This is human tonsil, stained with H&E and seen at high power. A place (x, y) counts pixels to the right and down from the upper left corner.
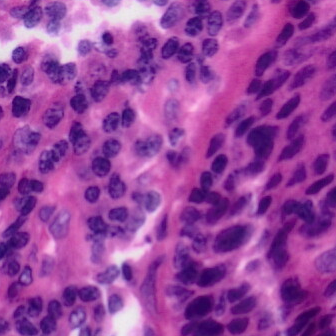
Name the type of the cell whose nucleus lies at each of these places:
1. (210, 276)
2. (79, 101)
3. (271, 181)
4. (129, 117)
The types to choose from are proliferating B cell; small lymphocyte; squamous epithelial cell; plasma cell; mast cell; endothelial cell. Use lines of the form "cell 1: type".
cell 1: squamous epithelial cell
cell 2: plasma cell
cell 3: squamous epithelial cell
cell 4: plasma cell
